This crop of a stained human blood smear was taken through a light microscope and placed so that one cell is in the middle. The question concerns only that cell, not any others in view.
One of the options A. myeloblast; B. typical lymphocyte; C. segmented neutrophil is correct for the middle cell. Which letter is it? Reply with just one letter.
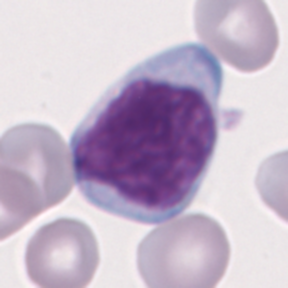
A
